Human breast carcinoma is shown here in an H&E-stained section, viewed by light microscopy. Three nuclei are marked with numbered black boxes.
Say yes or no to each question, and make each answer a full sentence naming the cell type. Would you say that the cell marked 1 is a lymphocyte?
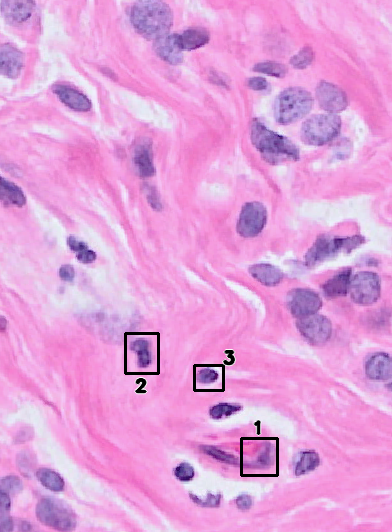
No, not a lymphocyte: the cell with number 1 is an endothelial cell.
